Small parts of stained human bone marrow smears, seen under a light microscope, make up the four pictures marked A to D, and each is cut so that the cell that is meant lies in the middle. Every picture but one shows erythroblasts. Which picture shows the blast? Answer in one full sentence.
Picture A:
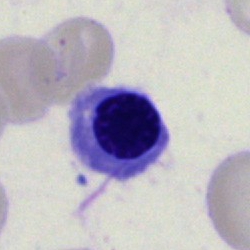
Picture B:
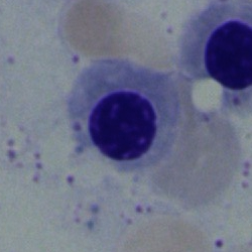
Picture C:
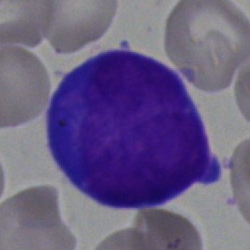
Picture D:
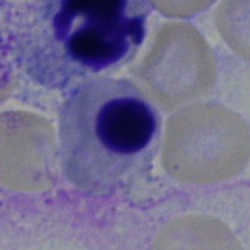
It is picture C that shows the blast.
